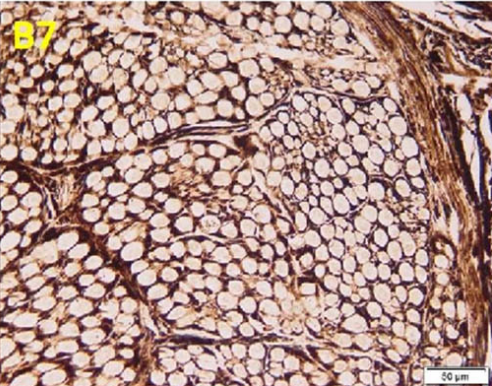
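A cross-section of a peripheral nerve shows many nerve fibres cut across as closely packed, rounded, pale profiles outlined by thin dark brown lines. The fibres are gathered into bundles separated by dark strands of connective tissue, and a thicker dark fibrous band runs along one edge of the field.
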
